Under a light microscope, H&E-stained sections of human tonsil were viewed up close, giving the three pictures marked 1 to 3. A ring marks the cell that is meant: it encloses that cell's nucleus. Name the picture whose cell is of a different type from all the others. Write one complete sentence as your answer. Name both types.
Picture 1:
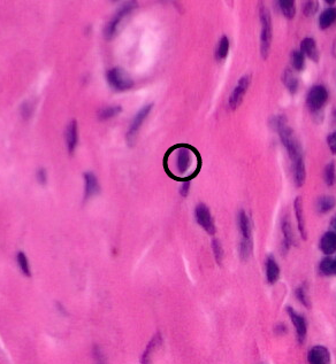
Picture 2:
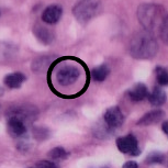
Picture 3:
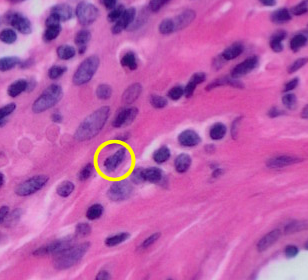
The others show mast cells, but picture 2 shows a squamous epithelial cell.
